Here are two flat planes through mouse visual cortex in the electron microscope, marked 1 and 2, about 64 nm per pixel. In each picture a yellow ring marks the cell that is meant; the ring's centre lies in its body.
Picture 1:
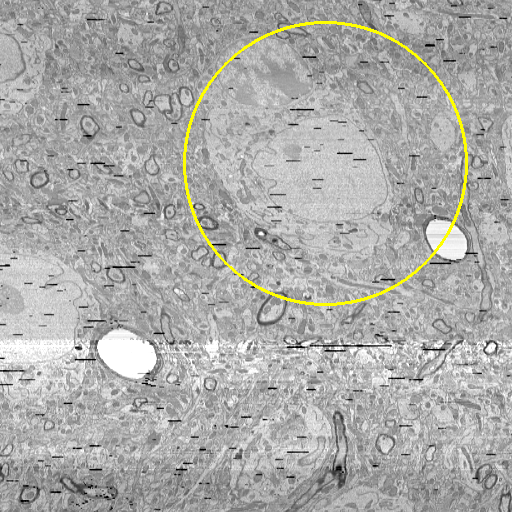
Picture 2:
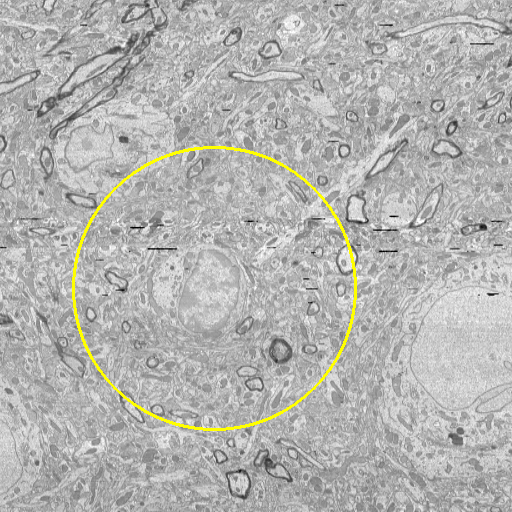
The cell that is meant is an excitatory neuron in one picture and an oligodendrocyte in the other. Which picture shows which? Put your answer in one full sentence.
The cell in picture 1 is an excitatory neuron, and the one in picture 2 is an oligodendrocyte.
